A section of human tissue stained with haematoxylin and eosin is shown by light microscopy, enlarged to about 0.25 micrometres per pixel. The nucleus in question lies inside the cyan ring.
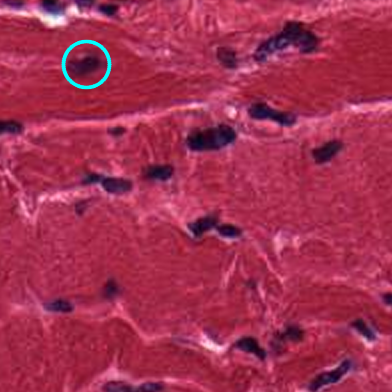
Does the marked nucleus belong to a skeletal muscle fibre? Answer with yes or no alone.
yes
